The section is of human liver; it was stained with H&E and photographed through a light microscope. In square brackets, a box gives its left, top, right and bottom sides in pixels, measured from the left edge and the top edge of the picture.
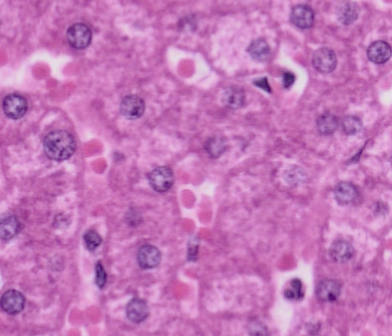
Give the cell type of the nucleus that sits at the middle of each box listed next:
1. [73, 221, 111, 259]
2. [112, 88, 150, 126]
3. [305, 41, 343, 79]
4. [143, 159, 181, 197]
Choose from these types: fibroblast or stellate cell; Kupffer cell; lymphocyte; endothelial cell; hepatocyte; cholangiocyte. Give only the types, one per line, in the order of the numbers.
Kupffer cell
hepatocyte
hepatocyte
hepatocyte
